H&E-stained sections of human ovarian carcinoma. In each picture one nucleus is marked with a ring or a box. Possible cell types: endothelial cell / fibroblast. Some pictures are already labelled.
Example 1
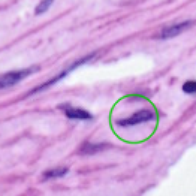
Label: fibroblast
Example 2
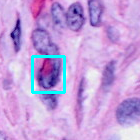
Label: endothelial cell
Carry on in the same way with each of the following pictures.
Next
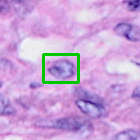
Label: fibroblast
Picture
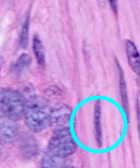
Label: fibroblast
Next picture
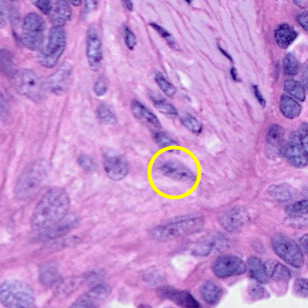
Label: fibroblast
